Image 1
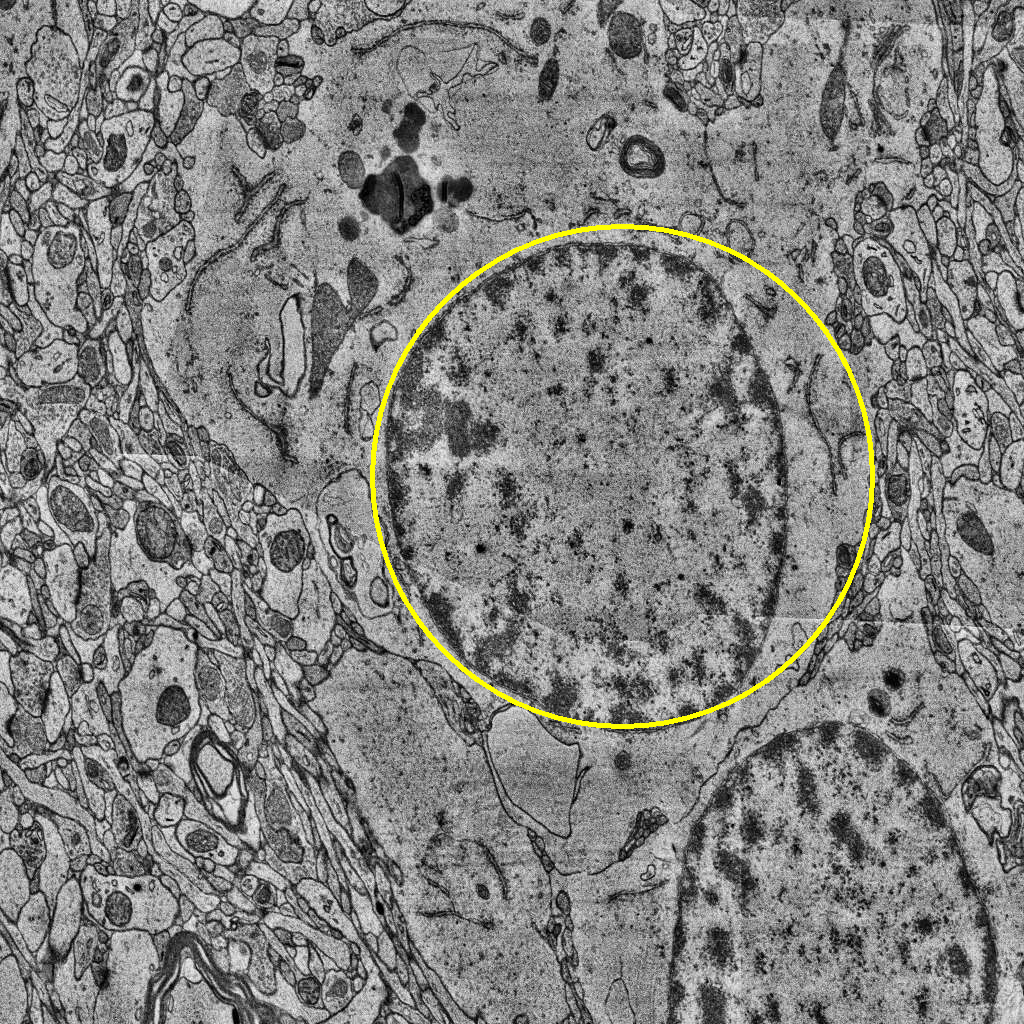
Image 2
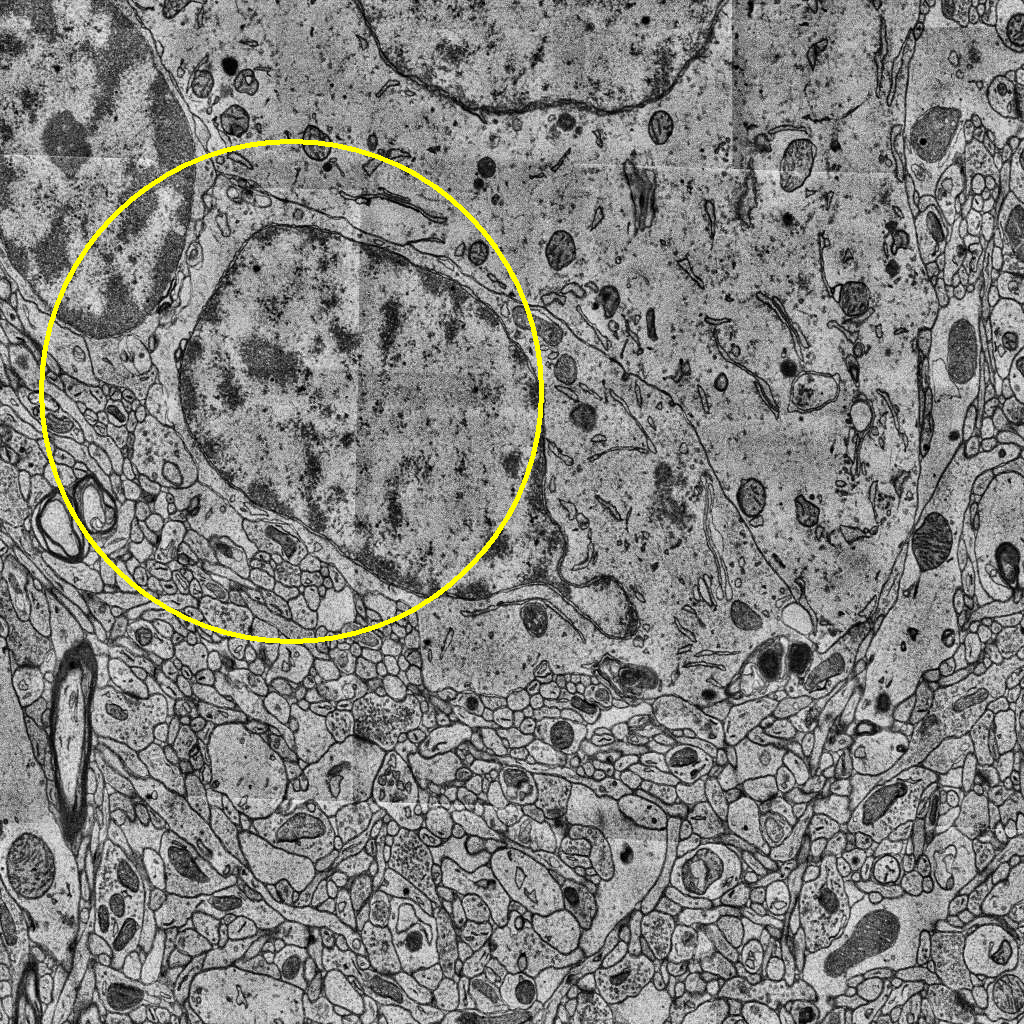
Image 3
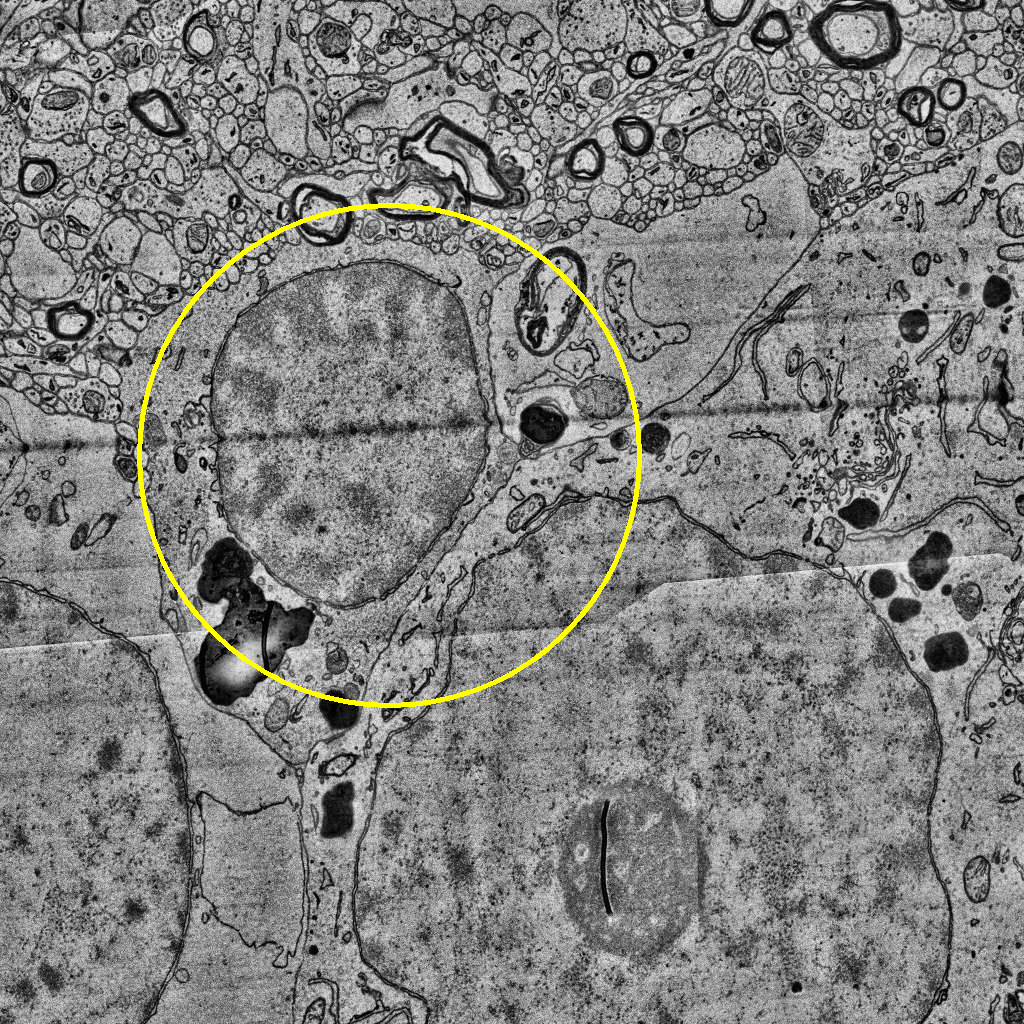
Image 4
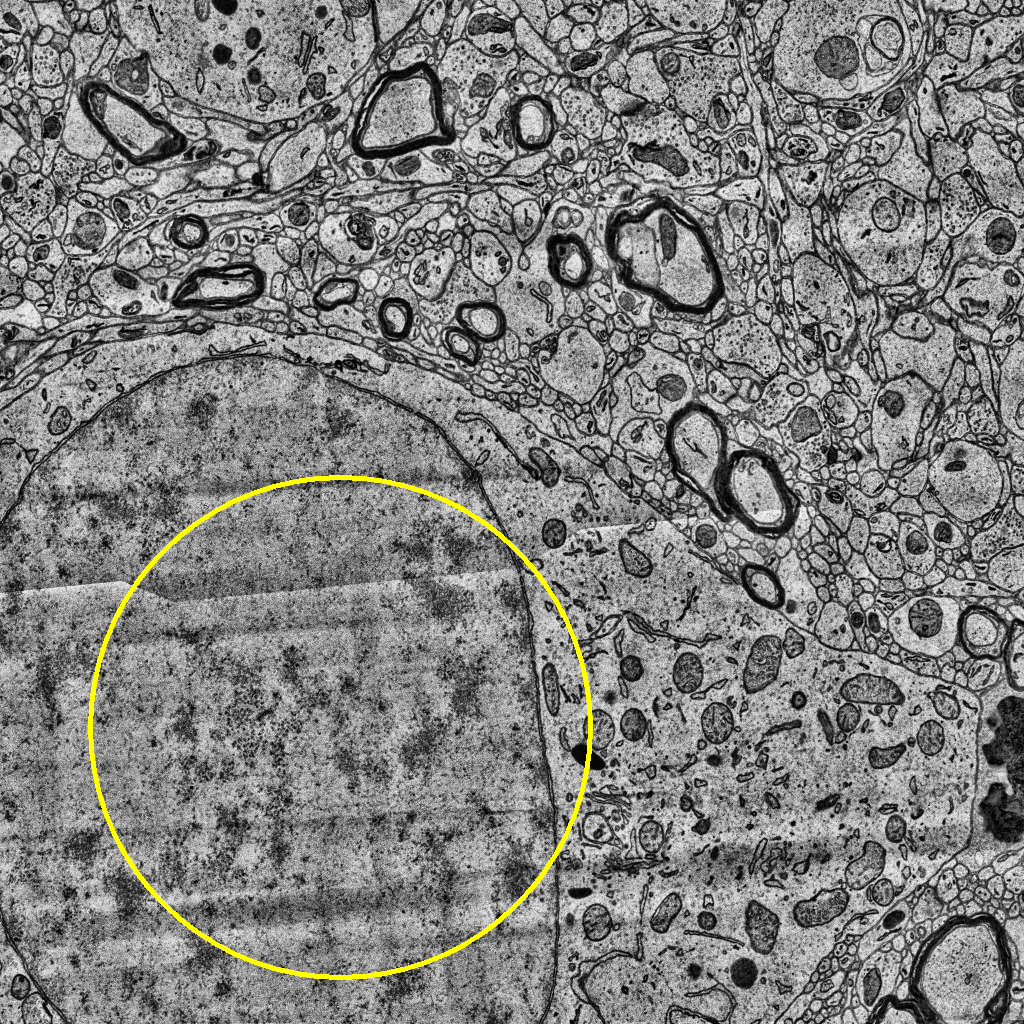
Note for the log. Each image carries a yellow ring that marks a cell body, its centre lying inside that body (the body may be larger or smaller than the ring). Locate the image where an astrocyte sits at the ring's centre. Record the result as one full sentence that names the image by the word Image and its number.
Image 1 has the wanted cell sitting at the centre of its ring.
